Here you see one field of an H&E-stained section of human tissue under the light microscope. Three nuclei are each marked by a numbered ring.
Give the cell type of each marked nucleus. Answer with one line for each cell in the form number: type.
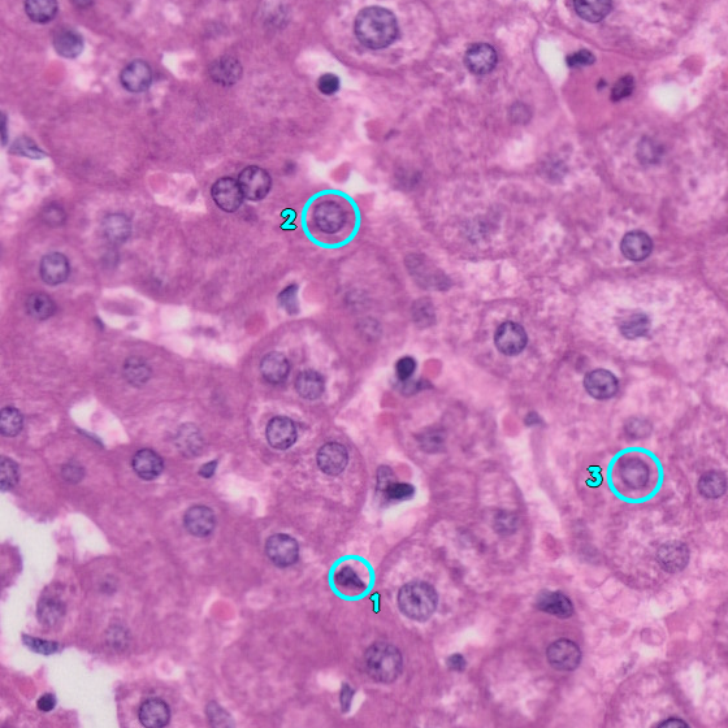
1: endothelial cell
2: hepatocyte
3: hepatocyte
